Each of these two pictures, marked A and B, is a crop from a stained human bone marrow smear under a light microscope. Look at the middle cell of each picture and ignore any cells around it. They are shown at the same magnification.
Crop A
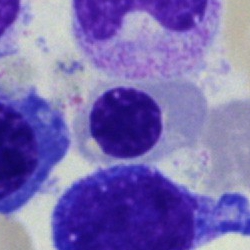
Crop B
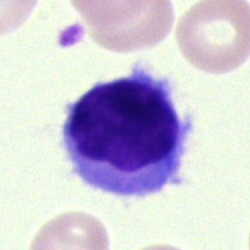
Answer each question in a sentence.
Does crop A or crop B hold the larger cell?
The cell in crop B is larger, with about 2.5 times the area of the one in crop A.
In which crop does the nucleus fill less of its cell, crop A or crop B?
It is the cell in crop B that is filled less by its nucleus.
